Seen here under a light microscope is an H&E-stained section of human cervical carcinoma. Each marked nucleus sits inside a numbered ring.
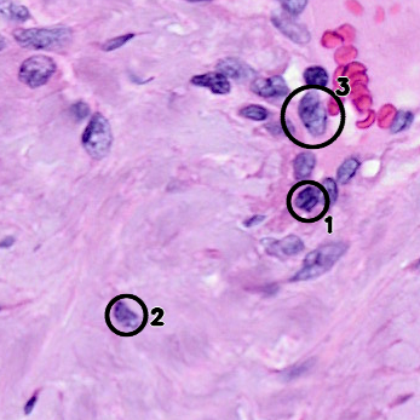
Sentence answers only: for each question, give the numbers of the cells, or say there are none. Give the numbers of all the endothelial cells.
The cells numbered 1 and 3 are identified as endothelial cells.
